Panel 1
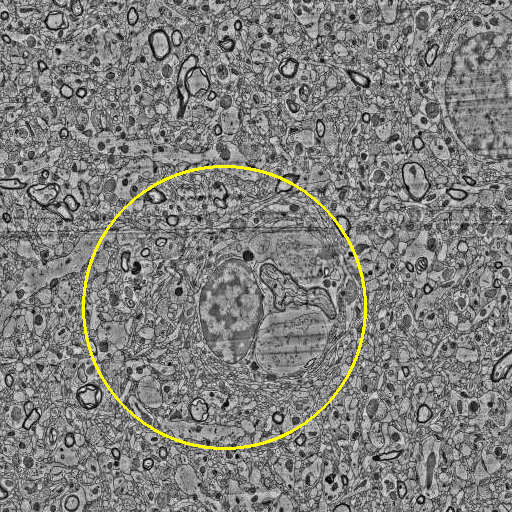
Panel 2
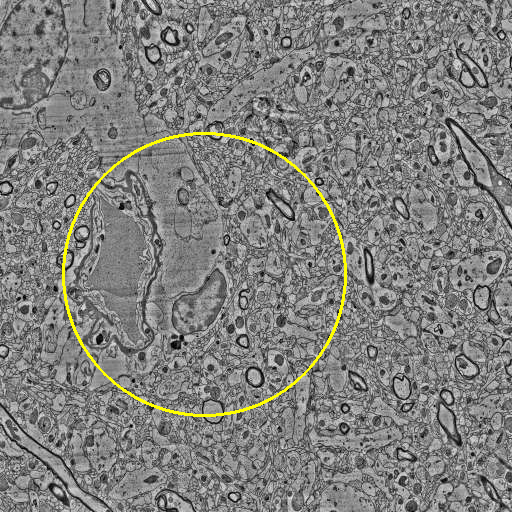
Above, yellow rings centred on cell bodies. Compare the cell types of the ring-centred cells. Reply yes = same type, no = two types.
yes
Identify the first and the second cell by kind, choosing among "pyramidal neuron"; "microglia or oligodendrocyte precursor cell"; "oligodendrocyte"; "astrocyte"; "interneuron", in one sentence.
In the first picture and in the second, the ring is centred on a microglial cell or oligodendrocyte precursor cell.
